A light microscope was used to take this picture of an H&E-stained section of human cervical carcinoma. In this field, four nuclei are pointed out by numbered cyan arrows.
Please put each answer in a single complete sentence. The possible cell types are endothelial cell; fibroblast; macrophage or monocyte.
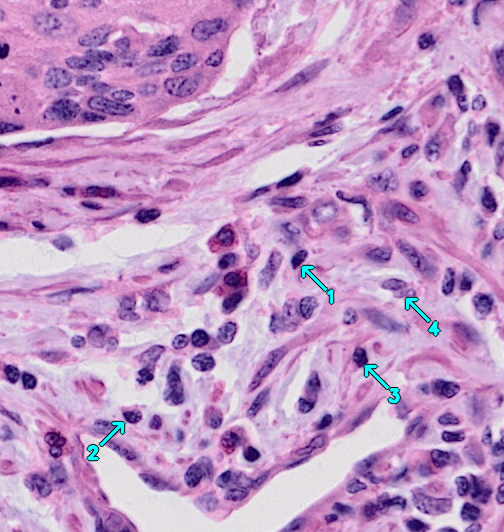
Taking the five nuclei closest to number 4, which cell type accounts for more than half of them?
Around number 4, most of the five nearest nuclei are those of endothelial cells.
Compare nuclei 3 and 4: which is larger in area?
Number 4 is larger; its area is about 1.5 times that of number 3.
